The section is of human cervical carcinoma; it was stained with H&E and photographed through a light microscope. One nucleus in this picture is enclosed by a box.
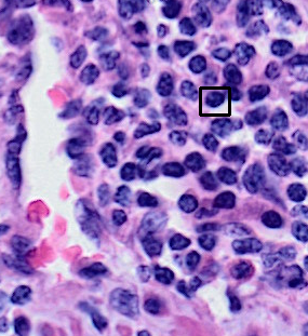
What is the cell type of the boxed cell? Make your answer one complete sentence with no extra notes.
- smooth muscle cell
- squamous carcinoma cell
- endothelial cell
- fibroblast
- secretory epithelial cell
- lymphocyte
Just put down that the boxed cell is a lymphocyte.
